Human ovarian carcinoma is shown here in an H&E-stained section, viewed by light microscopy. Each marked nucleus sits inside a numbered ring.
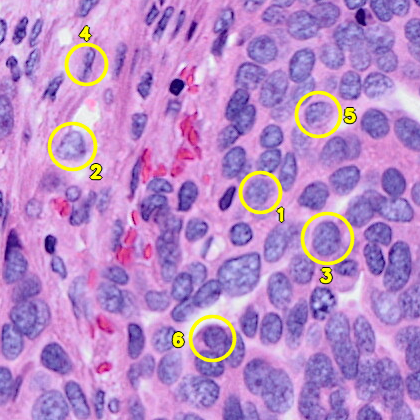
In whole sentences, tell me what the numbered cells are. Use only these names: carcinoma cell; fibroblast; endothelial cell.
Cells 1, 3, 5 and 6 are carcinoma cells. Cells 2 and 4 are fibroblasts.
